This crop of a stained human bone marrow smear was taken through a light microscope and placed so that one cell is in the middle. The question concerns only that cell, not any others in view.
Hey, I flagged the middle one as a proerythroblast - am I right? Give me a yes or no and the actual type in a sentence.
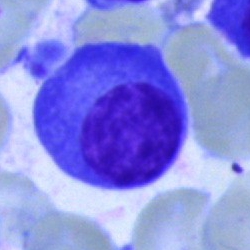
No, at the centre of this crop is found a plasma cell instead of a proerythroblast.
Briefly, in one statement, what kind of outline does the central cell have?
Its outline is smooth, with no projections anywhere along the edge.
